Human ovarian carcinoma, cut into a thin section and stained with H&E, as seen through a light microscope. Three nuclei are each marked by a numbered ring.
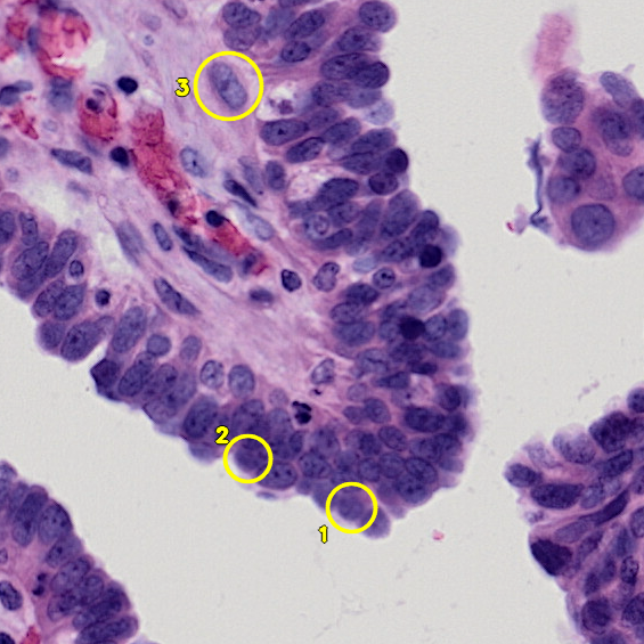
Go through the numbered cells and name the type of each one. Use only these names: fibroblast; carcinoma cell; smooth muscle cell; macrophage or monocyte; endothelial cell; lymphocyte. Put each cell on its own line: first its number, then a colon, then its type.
1: carcinoma cell
2: carcinoma cell
3: fibroblast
